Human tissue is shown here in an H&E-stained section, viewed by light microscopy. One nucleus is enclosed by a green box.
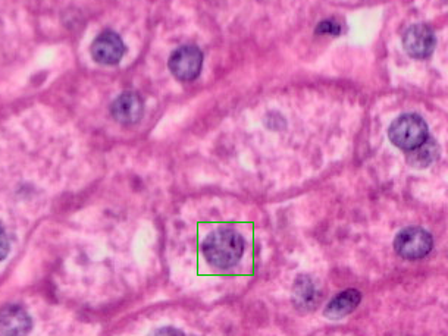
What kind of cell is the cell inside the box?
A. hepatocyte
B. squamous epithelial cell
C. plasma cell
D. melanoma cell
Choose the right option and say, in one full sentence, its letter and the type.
Here the right answer is A, with the cell inside the box being a hepatocyte.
